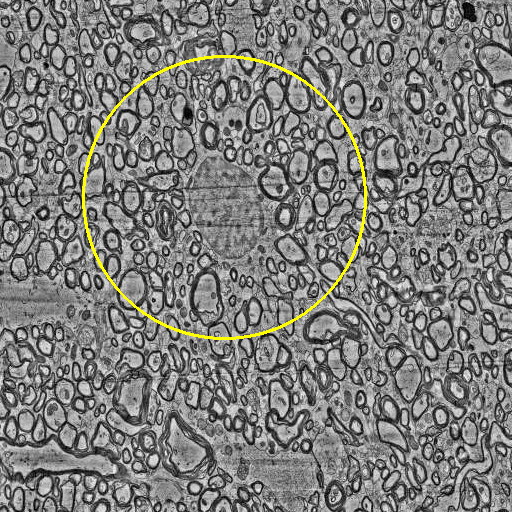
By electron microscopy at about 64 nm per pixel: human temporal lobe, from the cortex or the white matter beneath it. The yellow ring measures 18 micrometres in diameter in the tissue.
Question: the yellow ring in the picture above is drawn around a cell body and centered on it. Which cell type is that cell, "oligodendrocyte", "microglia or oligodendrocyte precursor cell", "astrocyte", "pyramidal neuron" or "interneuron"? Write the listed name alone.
oligodendrocyte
